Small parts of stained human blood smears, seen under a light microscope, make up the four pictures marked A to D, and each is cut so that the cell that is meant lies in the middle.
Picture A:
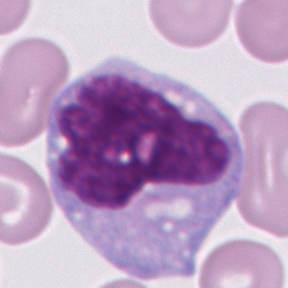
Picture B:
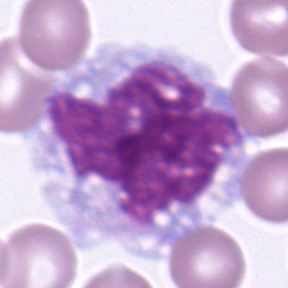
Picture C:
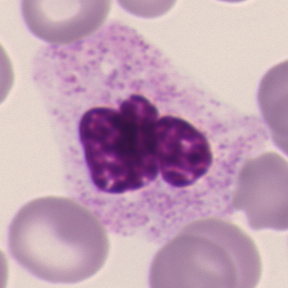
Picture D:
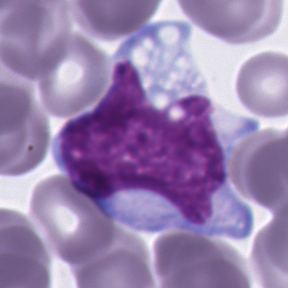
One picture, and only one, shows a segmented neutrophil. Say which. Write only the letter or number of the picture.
C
